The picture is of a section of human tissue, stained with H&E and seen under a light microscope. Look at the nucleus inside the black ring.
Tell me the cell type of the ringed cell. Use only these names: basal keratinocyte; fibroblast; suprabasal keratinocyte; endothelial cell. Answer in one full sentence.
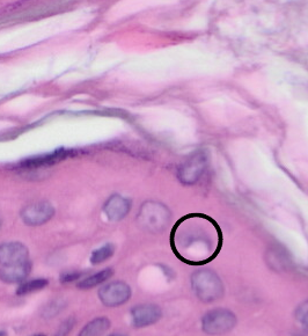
Microscopically, the ringed cell is categorized as a suprabasal keratinocyte.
